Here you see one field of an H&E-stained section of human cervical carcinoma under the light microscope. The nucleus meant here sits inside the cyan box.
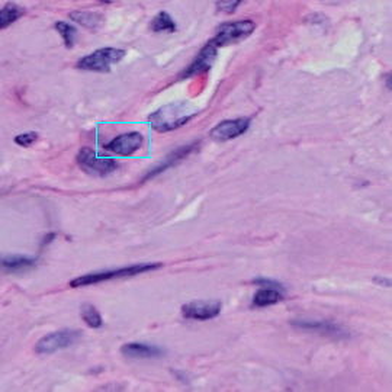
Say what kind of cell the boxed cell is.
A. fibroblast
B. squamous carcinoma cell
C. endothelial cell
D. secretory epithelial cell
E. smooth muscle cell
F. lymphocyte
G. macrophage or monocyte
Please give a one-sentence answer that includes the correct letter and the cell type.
Option C is the one to take: the boxed cell is an endothelial cell.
